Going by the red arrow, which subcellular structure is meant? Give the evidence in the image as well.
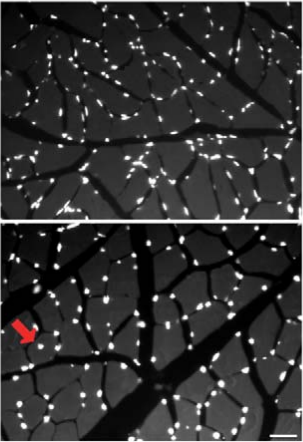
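Central nuclei. Polygonal dark fibers outlined by bright nuclei at their edges. The arrowed bright nucleus lies inside a fiber, away from its border.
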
